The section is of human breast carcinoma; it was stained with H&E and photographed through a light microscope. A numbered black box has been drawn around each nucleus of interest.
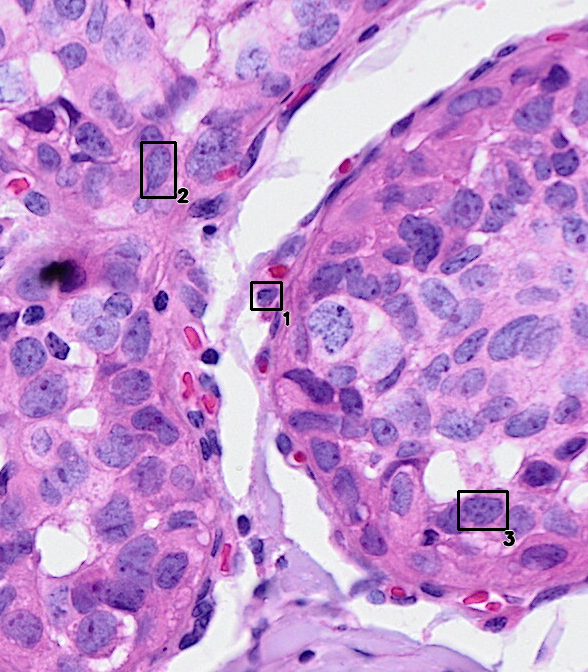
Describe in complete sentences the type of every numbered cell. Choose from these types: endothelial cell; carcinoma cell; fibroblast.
Cell 1 is an endothelial cell, cell 2 is a carcinoma cell and cell 3 is a carcinoma cell.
